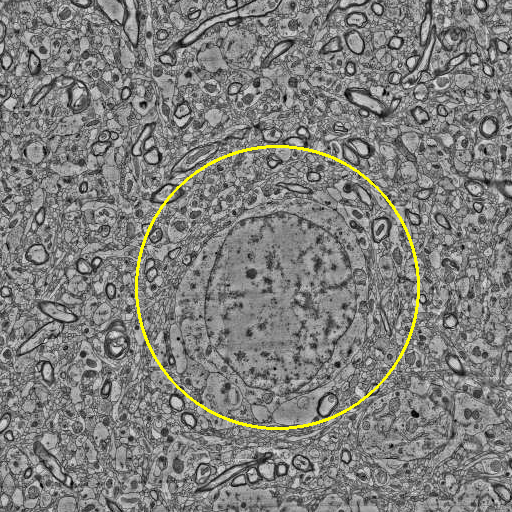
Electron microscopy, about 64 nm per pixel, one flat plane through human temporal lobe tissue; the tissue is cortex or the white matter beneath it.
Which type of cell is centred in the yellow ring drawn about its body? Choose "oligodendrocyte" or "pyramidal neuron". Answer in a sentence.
The yellow ring surrounds the cell body of a pyramidal neuron.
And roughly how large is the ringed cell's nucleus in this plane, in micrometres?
The nucleus is about 11 micrometres across in this plane.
